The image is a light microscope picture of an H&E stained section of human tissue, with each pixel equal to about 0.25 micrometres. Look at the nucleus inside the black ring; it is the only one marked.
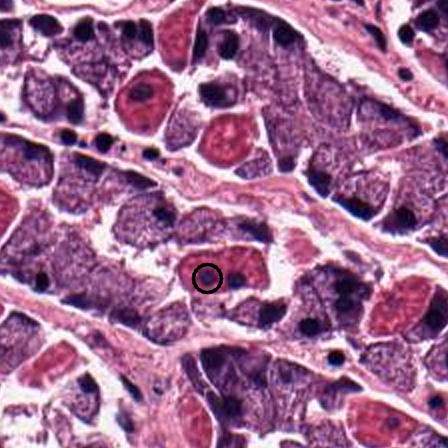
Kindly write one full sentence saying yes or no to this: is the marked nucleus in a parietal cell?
Yes, the nucleus picked out by the mark belongs to a parietal cell.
